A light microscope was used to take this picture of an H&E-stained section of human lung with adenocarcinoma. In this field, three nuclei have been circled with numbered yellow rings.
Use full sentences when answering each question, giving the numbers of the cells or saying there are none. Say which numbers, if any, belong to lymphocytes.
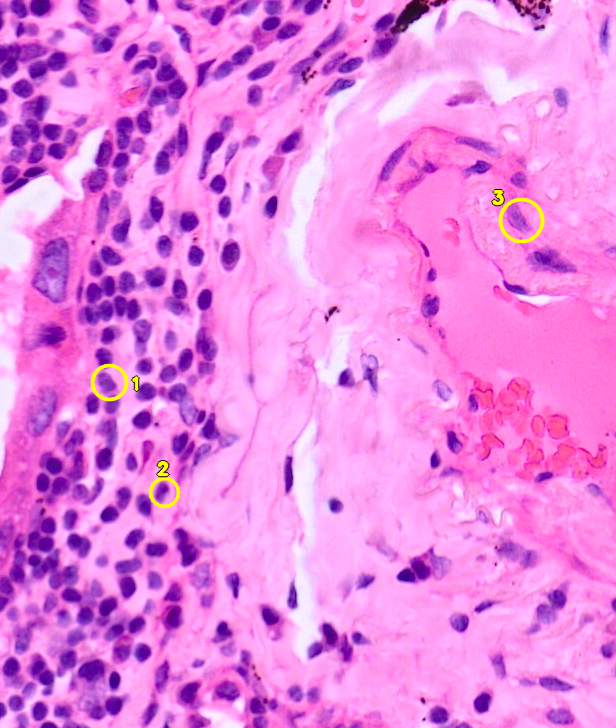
The cells that the numbers 1 and 2 belong to are lymphocytes.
